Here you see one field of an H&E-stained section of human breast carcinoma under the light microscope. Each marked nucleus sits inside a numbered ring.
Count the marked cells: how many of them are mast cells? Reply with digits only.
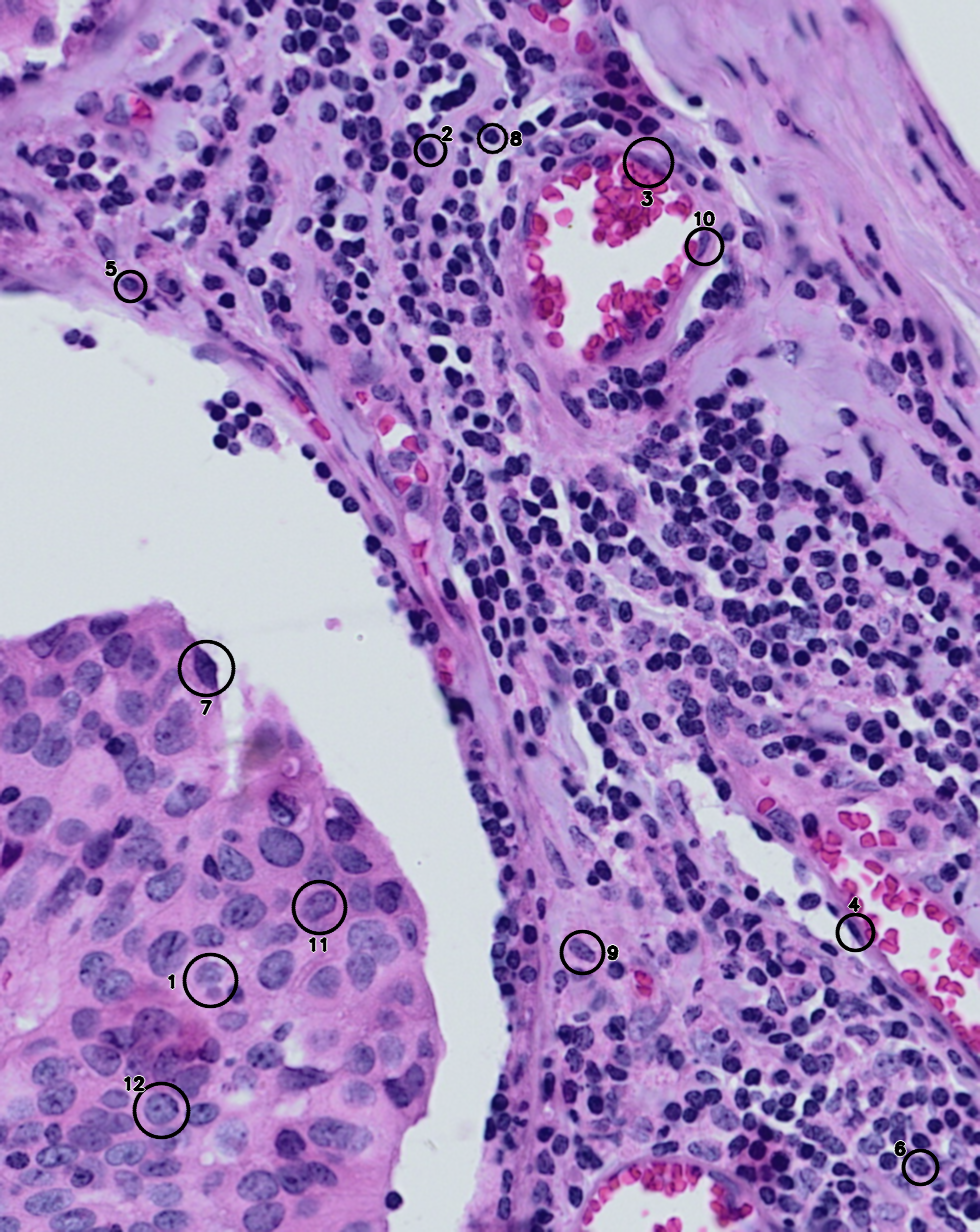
2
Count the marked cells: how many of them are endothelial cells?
3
